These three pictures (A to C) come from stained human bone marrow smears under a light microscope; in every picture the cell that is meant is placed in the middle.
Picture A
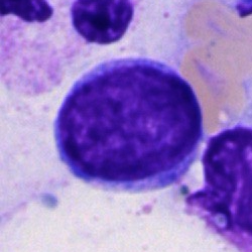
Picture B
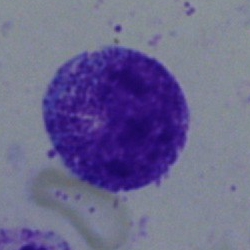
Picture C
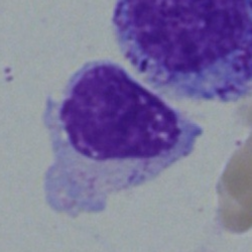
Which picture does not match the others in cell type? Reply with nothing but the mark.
A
